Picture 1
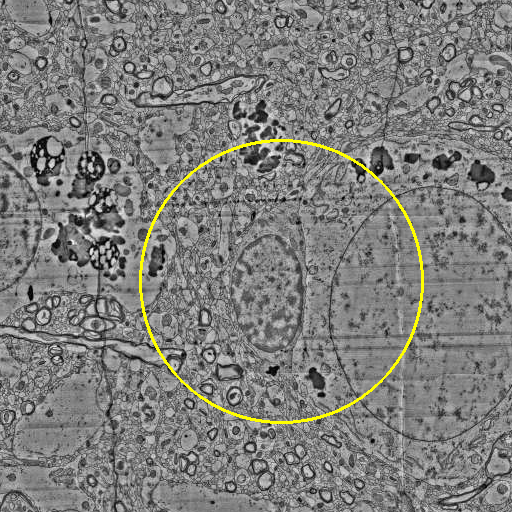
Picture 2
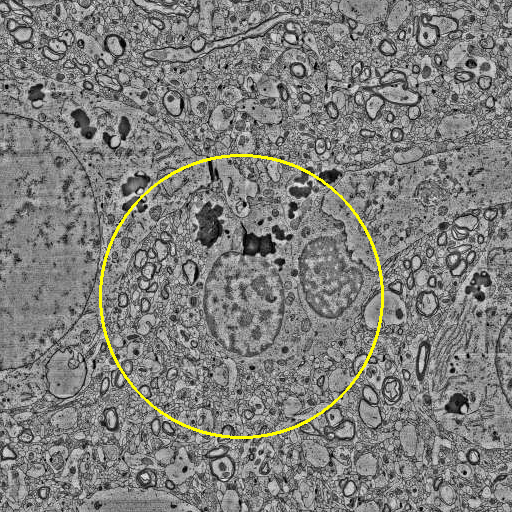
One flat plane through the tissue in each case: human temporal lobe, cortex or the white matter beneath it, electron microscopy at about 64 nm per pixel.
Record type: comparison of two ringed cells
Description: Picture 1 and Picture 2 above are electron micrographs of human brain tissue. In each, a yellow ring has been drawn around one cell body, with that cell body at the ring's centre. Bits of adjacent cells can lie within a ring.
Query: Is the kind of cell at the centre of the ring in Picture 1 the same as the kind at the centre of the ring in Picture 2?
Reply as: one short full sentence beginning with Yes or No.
Yes, the two ringed cells are of the same kind.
